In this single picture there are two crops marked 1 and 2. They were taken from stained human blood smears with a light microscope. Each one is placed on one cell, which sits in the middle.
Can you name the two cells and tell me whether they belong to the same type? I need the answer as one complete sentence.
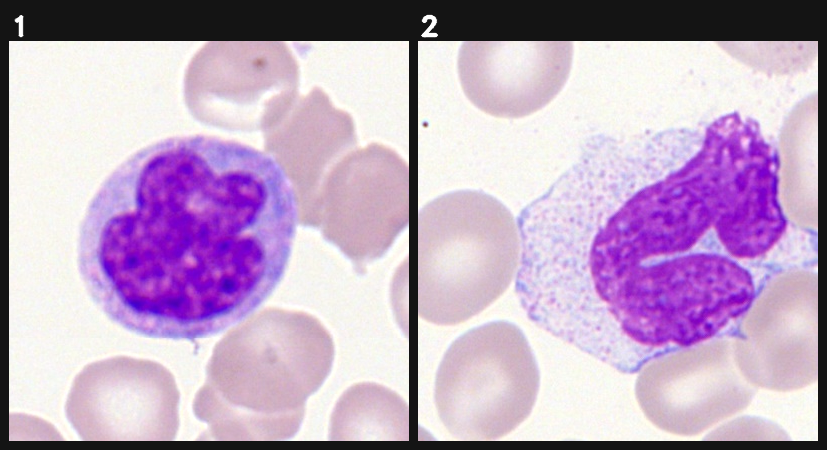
Yes, that holds, both crops show monocytes.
